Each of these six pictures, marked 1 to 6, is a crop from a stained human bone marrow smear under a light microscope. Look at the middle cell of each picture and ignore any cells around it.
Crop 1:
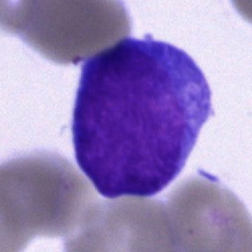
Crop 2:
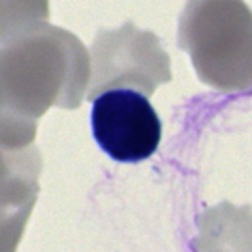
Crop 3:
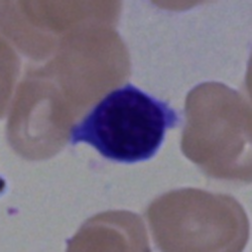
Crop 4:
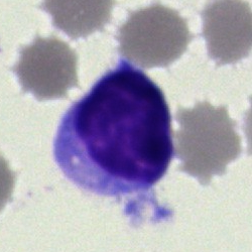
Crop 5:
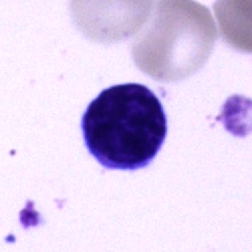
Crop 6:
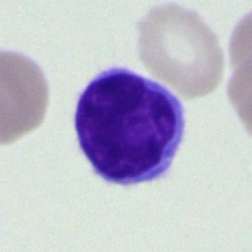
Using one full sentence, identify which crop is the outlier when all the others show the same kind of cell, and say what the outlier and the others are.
While crop 1 shows a blast, the other crops all show lymphocytes.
